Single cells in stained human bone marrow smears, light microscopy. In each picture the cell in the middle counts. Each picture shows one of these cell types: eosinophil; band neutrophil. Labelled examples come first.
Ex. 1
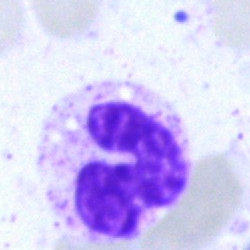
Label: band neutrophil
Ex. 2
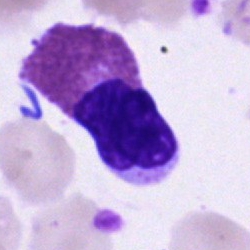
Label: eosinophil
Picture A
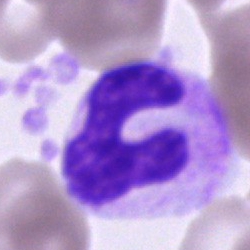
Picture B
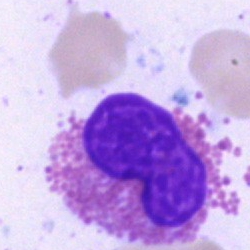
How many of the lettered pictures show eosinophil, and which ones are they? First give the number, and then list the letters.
1, namely B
